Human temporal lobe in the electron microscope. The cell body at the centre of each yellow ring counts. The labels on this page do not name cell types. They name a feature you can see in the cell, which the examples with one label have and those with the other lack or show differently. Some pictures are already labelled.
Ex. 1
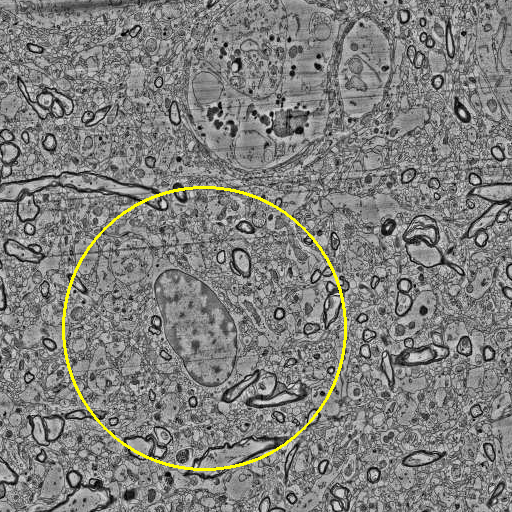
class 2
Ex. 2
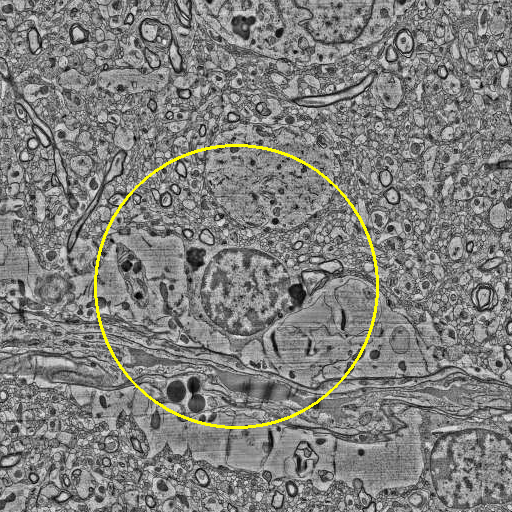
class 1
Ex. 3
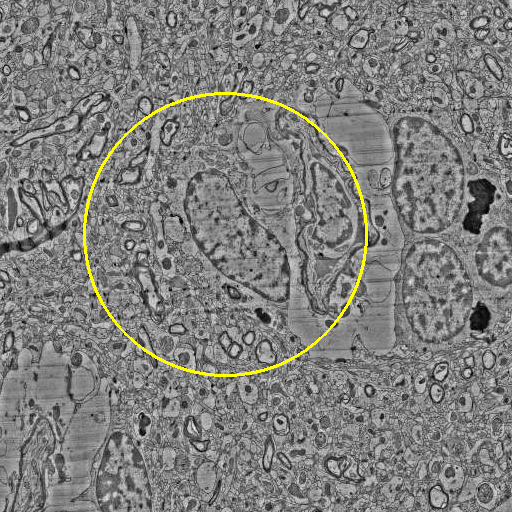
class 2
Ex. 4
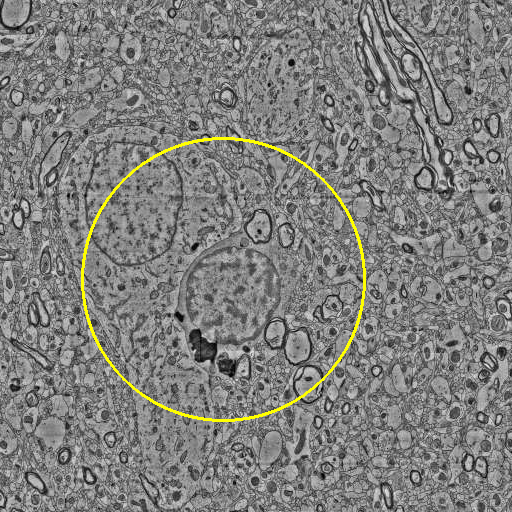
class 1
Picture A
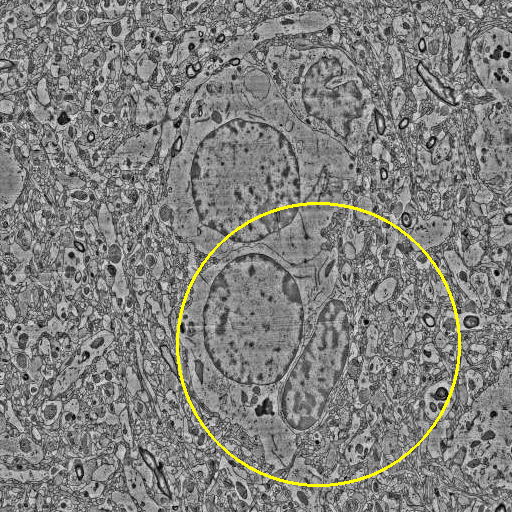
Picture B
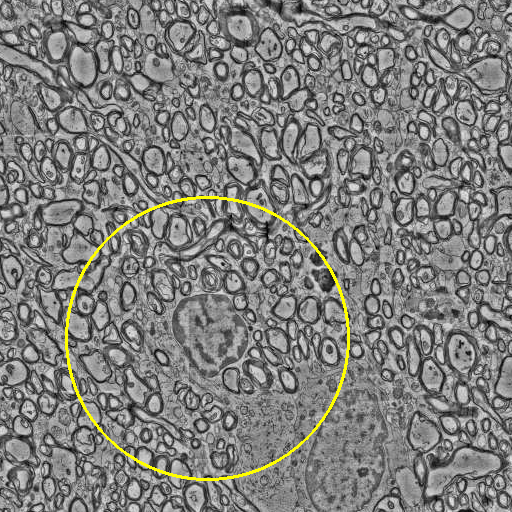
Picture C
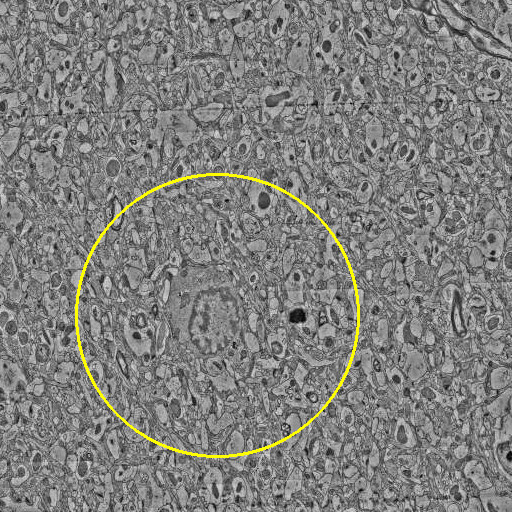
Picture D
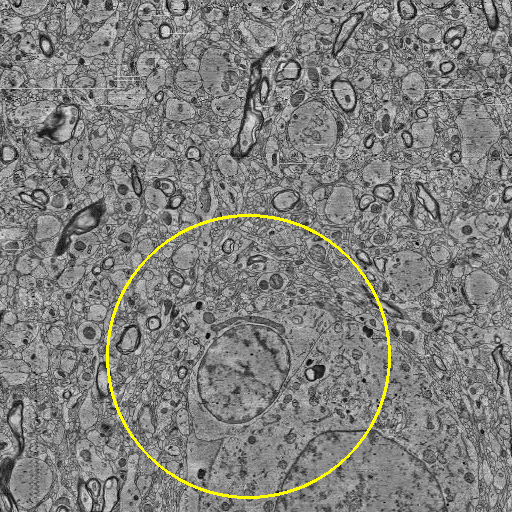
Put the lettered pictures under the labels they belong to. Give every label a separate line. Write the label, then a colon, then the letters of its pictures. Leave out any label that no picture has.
class 2: A
class 1: B, C, D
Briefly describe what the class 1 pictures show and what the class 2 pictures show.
class 1: round or nearly round nuclei; class 2: clearly elongated nuclei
